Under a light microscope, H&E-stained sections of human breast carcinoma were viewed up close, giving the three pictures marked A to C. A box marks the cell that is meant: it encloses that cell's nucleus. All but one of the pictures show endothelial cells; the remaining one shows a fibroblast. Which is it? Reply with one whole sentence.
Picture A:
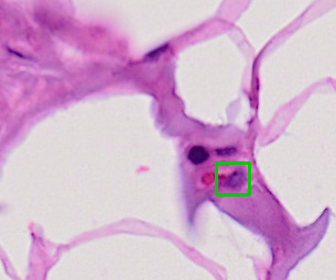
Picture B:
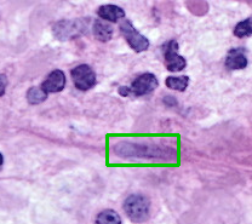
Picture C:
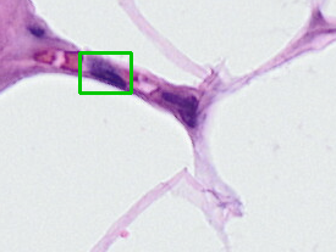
Picture B is the one that shows the fibroblast.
